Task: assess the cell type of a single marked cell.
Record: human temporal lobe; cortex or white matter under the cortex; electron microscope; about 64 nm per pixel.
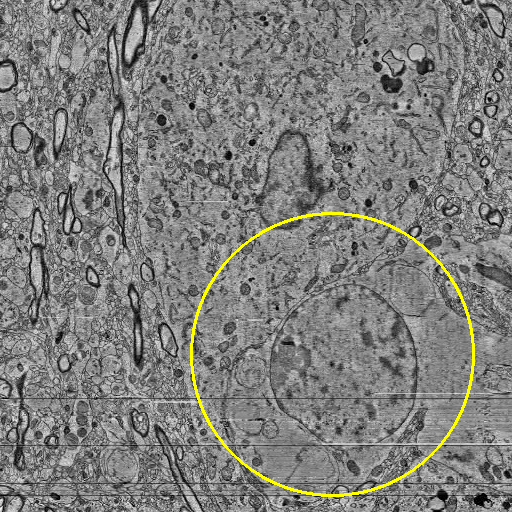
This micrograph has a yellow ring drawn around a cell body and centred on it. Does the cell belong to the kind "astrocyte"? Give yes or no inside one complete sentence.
Yes, the marked cell at the centre of the ring belongs to that kind.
